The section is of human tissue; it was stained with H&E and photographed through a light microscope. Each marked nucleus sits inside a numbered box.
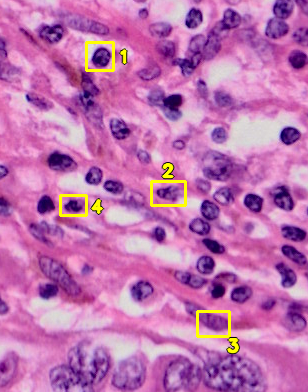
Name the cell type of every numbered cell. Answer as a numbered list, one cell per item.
1. lymphocyte
2. lymphocyte
3. macrophage or monocyte
4. plasma cell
